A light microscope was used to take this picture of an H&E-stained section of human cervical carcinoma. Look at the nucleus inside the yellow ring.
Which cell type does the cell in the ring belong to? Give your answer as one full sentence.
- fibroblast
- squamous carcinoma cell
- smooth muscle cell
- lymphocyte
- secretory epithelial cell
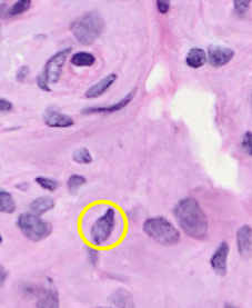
In this field of tissue, the cell in the ring is a fibroblast.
